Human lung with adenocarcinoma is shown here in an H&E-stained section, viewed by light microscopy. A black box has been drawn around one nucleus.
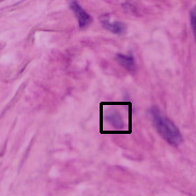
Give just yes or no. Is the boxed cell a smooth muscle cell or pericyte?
yes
